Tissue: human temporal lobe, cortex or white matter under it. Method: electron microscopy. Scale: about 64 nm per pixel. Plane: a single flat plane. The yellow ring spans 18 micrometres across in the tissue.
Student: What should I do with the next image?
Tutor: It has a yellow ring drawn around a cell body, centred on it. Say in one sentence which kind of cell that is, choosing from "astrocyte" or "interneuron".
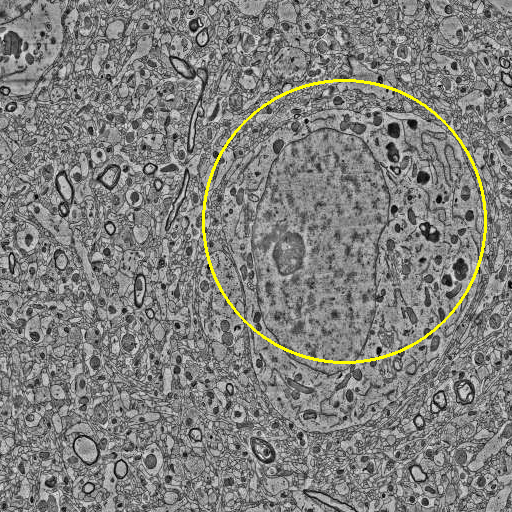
The ring's centre is occupied by an interneuron.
